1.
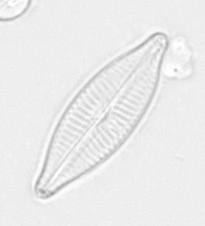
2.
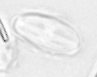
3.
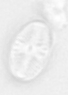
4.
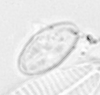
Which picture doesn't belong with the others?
Picture 1.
